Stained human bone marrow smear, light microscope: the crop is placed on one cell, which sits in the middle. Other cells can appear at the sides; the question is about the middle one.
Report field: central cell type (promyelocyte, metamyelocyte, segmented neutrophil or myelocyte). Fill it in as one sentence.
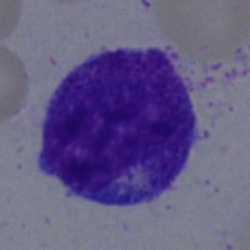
The center cell of this crop is a promyelocyte.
